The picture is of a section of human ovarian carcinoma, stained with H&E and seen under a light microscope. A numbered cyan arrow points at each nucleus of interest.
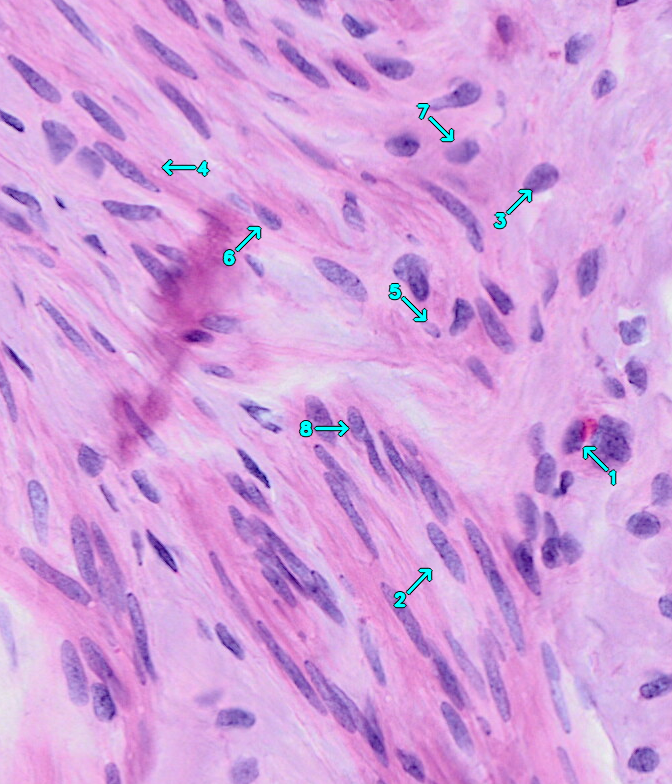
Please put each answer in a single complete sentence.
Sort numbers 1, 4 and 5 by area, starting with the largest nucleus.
Going from the biggest nucleus down to the smallest gives 4, 1, 5.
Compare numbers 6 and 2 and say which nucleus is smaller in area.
Nucleus 6 covers less area, with nucleus 2 about 3 times as large.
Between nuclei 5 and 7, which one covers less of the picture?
Nucleus 5 covers less area, with nucleus 7 about 3 times as large.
